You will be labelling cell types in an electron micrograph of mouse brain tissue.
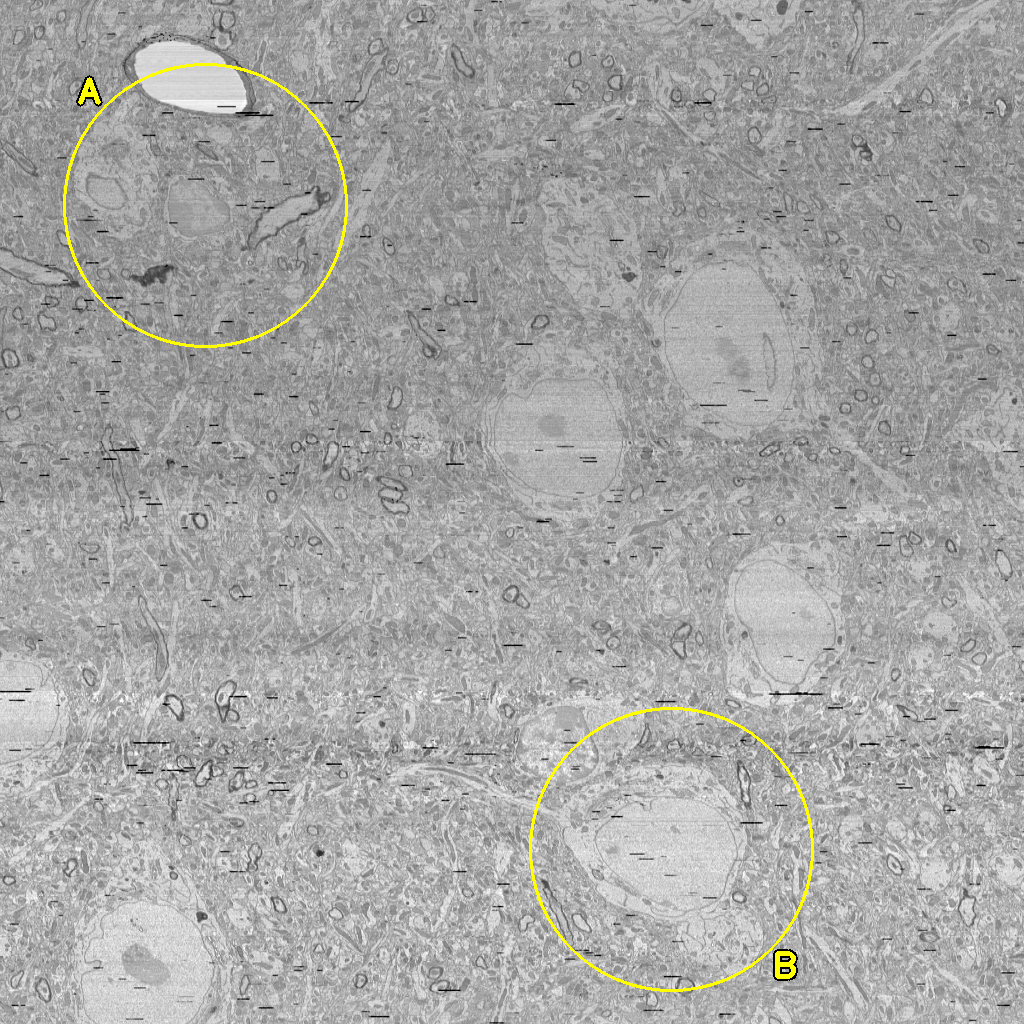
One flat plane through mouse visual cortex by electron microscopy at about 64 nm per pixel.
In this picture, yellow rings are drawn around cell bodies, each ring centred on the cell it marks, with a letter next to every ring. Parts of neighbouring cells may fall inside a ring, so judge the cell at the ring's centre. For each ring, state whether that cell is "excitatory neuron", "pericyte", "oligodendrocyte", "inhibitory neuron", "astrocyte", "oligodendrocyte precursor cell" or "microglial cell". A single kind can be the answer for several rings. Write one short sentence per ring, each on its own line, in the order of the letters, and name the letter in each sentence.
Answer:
Ring A contains a microglial cell at its centre.
Ring B contains an excitatory neuron at its centre.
